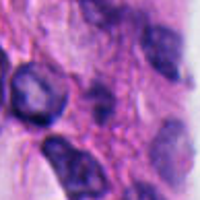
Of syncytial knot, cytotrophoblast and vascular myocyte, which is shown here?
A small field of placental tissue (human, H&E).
cytotrophoblast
